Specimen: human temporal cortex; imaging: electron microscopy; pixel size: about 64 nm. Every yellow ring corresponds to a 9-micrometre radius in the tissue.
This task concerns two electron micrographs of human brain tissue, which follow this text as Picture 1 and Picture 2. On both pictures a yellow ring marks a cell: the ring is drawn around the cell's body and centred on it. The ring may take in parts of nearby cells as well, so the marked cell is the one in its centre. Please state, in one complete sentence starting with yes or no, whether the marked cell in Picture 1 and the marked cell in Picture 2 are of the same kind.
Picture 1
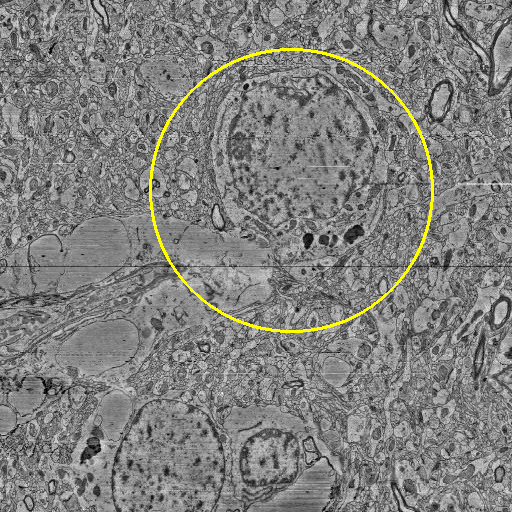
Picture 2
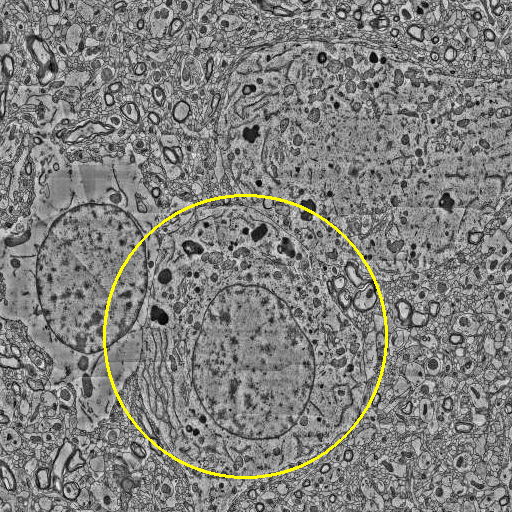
No, the marked cells in the two pictures are of two kinds.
